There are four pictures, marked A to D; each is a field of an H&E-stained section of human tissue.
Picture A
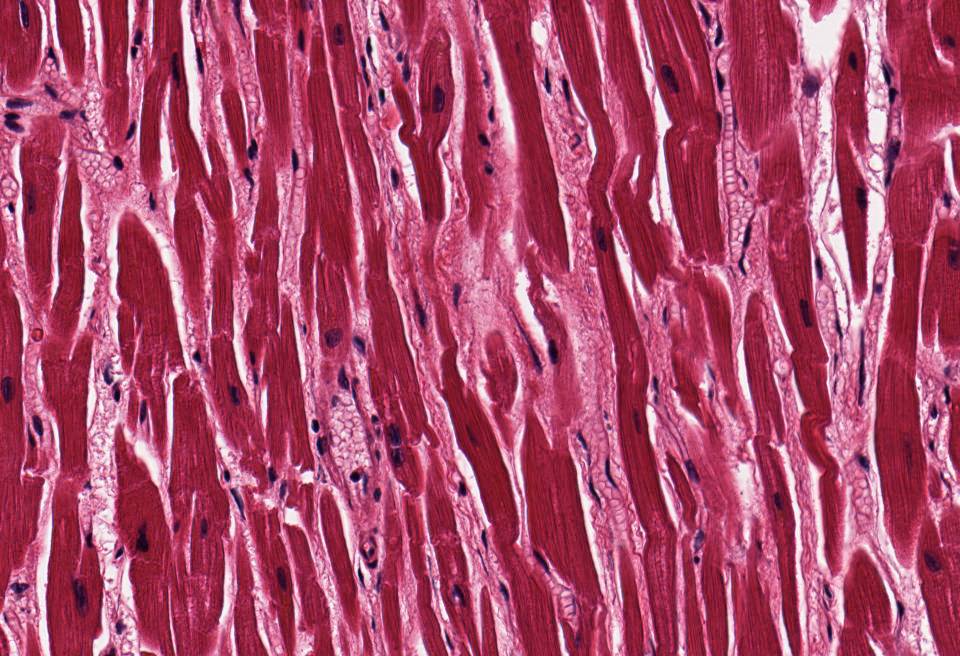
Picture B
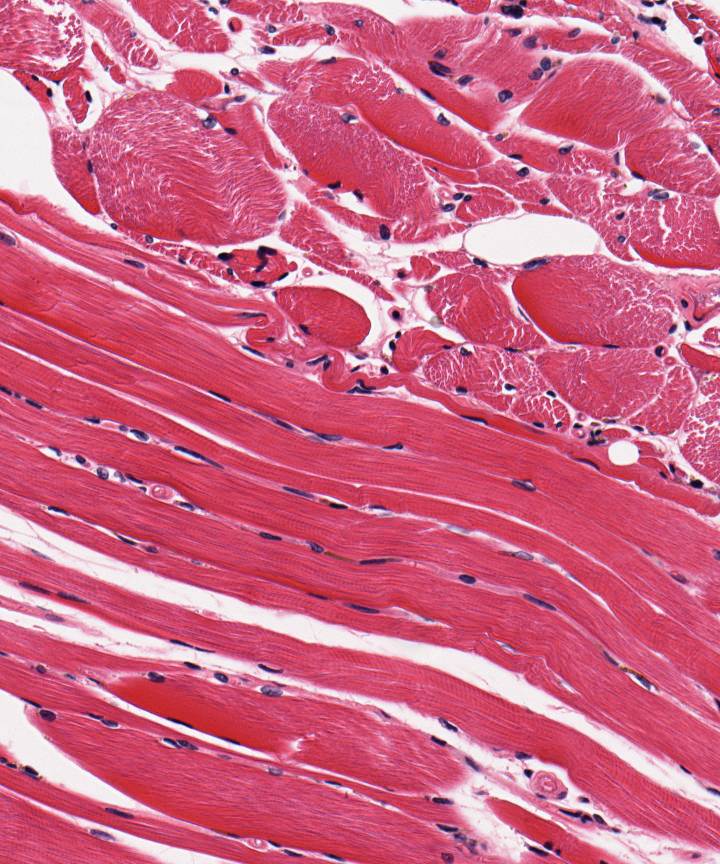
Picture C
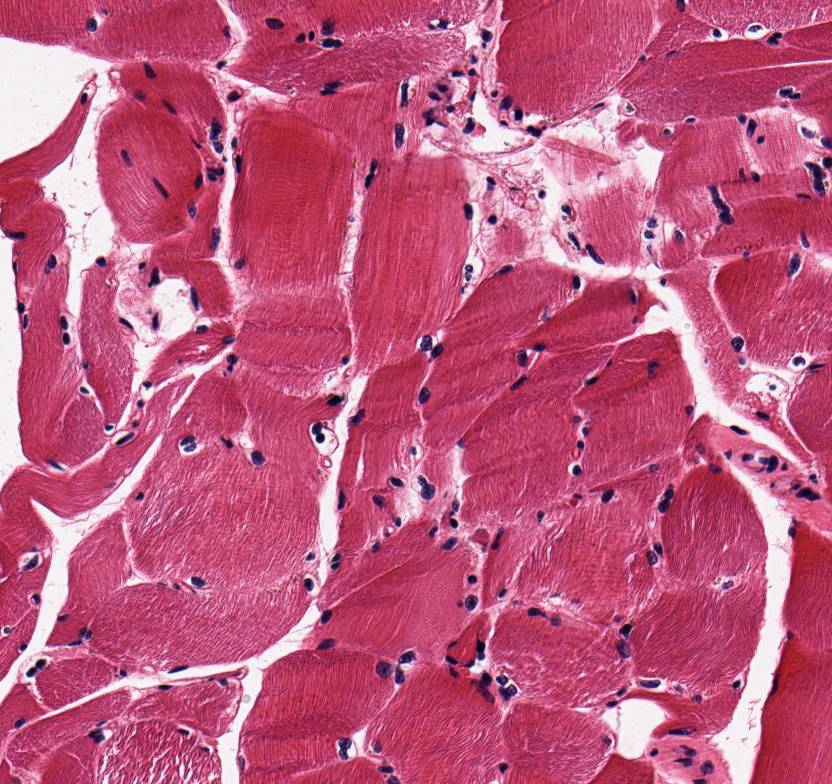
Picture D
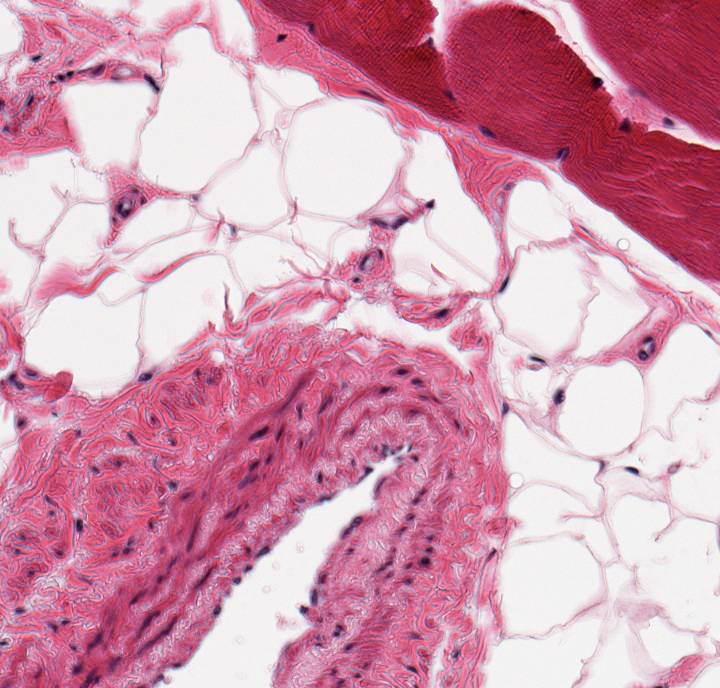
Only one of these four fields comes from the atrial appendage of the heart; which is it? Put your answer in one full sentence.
Picture A comes from the atrial appendage of the heart.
